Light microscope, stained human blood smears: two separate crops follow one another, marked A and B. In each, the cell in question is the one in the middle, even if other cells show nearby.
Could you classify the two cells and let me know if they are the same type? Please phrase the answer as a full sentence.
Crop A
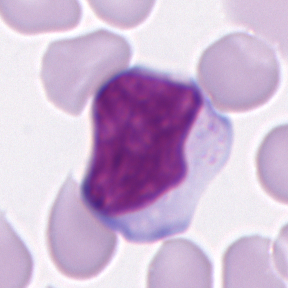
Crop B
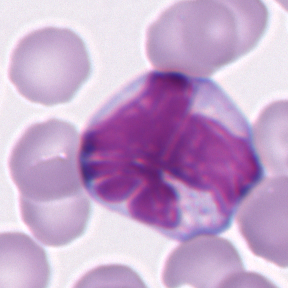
Yes, the same answer goes for both crops, namely large granular lymphocytes.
